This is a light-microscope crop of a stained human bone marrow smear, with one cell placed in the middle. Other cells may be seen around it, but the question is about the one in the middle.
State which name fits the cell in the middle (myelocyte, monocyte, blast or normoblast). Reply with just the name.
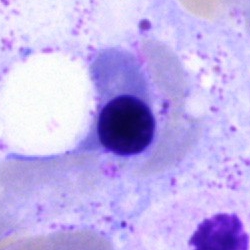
normoblast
